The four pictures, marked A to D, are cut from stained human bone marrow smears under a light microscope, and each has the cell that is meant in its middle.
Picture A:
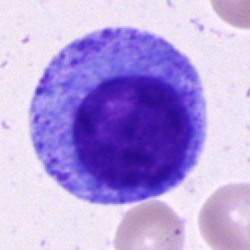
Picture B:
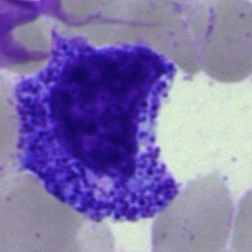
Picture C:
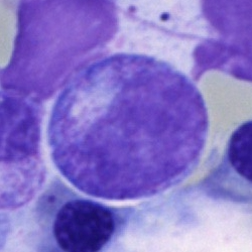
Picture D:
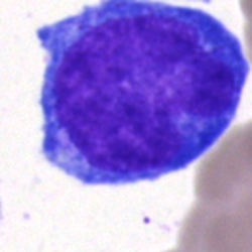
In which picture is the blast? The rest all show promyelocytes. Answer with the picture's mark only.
D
